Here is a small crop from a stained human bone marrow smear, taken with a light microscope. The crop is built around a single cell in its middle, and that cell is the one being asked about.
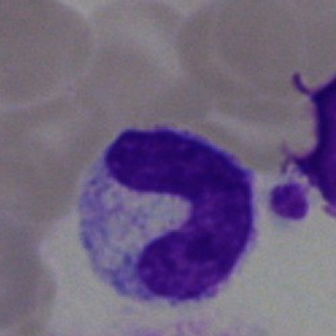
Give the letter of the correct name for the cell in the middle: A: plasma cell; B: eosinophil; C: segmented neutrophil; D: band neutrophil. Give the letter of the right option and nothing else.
D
